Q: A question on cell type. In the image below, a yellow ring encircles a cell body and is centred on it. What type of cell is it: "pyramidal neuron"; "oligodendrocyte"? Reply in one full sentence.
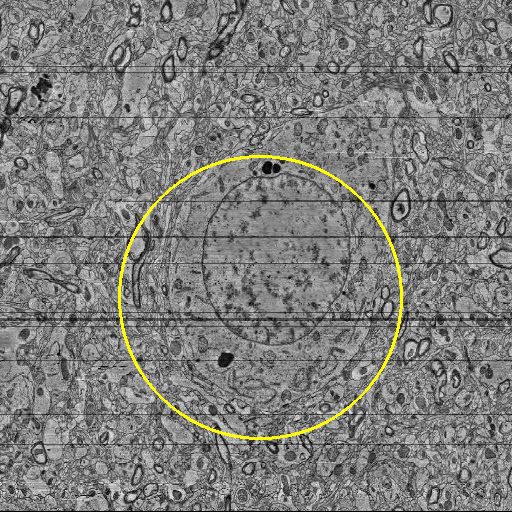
It is a pyramidal neuron whose cell body sits at the centre of the yellow ring in the image.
